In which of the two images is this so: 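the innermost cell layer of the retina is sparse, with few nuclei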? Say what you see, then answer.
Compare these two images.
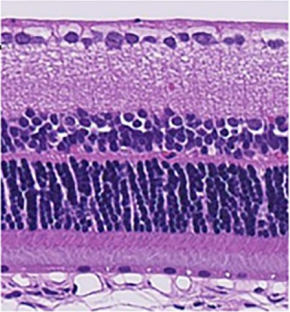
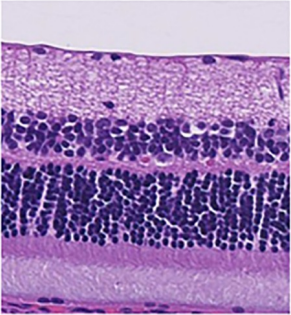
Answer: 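The second image. Second image: only scattered nuclei lie along the inner surface of the retina. First image: a nearly continuous row of nuclei lines the inner surface.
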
